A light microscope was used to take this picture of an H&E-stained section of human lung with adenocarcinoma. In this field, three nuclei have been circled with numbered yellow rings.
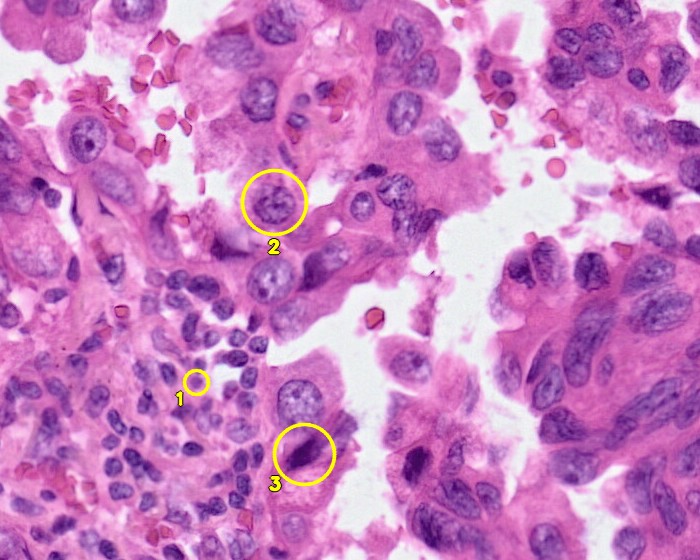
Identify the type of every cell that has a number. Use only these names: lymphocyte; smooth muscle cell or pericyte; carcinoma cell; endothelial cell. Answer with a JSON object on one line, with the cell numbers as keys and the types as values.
{"1": "lymphocyte", "2": "carcinoma cell", "3": "carcinoma cell"}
